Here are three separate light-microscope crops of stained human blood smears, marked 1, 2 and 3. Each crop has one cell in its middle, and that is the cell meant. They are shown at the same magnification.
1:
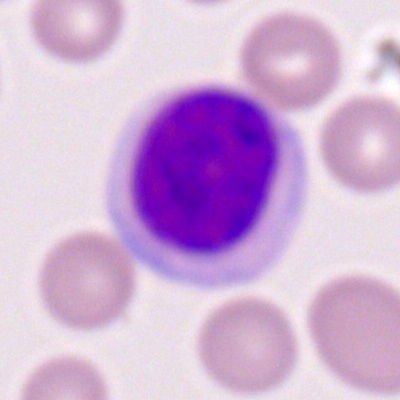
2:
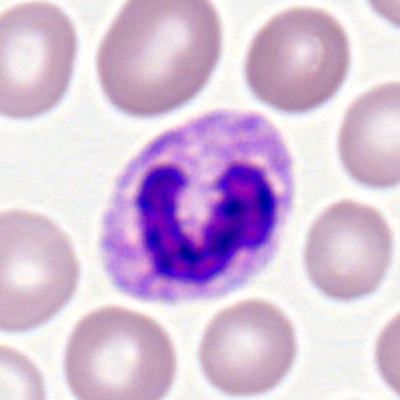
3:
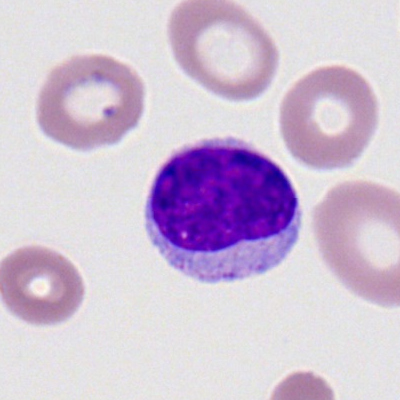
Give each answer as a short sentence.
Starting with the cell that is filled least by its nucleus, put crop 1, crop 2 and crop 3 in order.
They run 2, 1, 3, the least filled first.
